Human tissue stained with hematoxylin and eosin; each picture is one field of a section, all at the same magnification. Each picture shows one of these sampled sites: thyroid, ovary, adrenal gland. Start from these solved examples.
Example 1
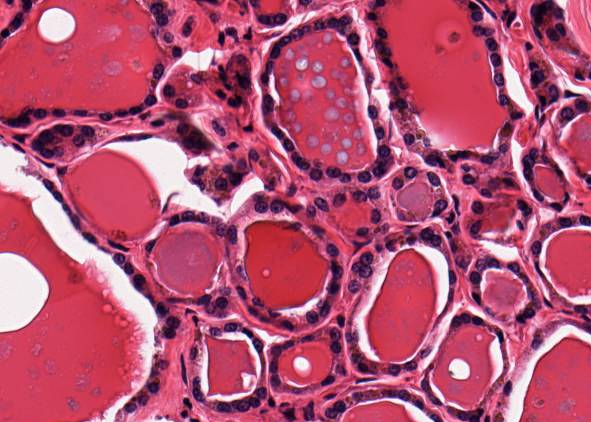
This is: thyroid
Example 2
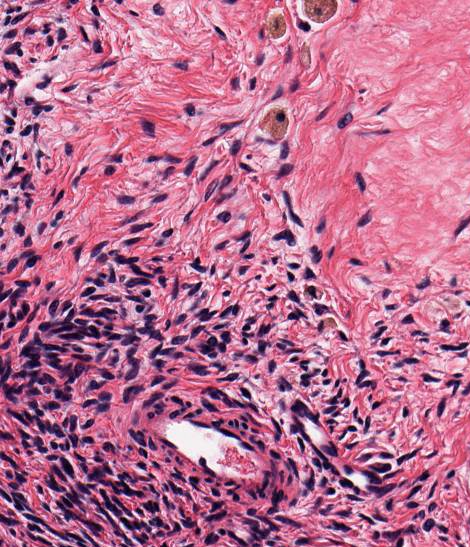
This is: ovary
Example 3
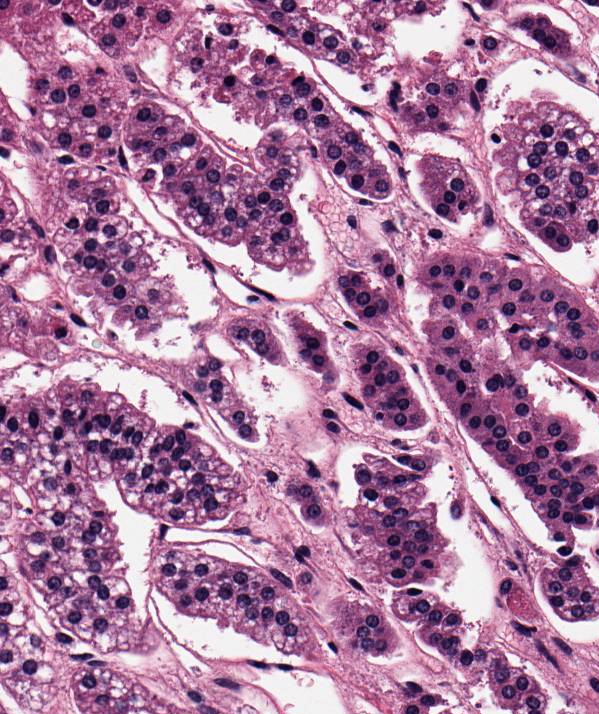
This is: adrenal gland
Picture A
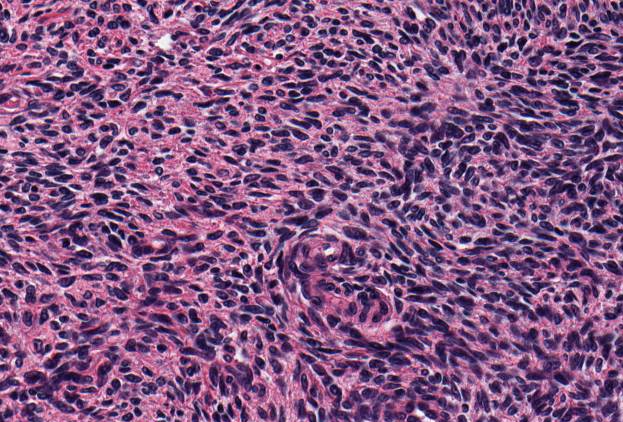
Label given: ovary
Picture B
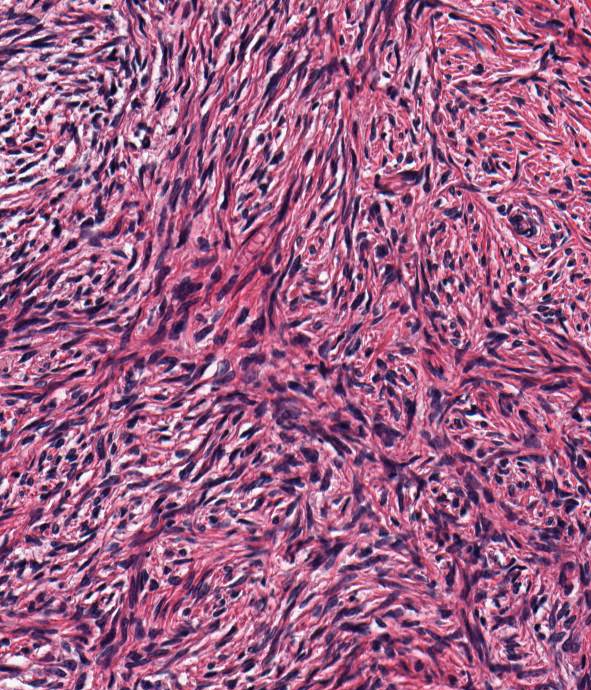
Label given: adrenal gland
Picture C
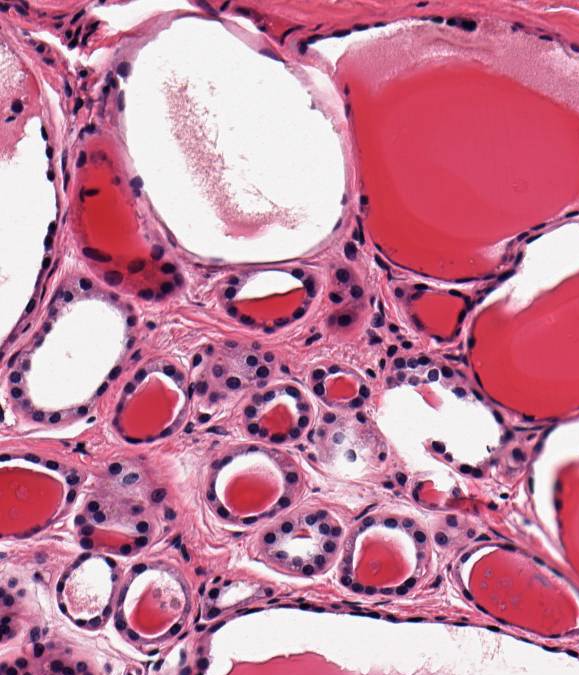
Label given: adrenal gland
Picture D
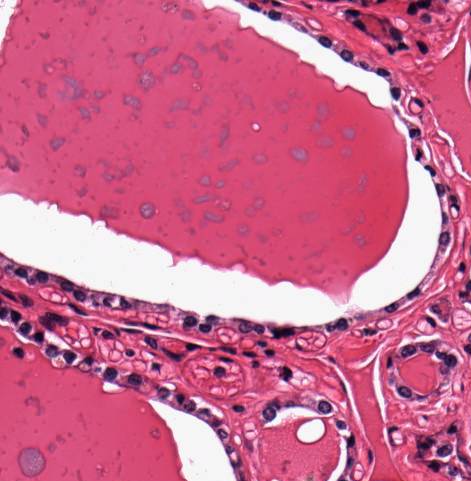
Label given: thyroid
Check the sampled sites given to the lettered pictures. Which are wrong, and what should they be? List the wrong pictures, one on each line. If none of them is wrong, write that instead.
B should be ovary, not adrenal gland
C should be thyroid, not adrenal gland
